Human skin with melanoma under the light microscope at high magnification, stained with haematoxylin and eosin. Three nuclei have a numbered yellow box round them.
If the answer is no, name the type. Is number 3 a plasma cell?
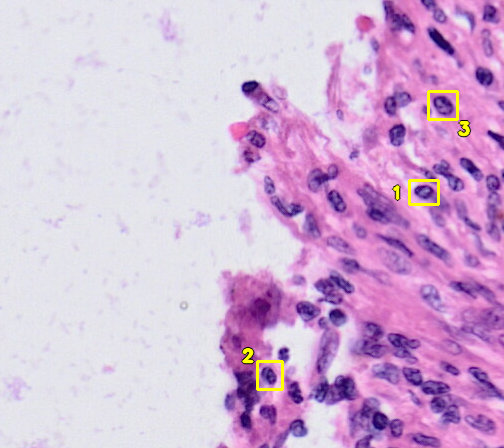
Yes.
